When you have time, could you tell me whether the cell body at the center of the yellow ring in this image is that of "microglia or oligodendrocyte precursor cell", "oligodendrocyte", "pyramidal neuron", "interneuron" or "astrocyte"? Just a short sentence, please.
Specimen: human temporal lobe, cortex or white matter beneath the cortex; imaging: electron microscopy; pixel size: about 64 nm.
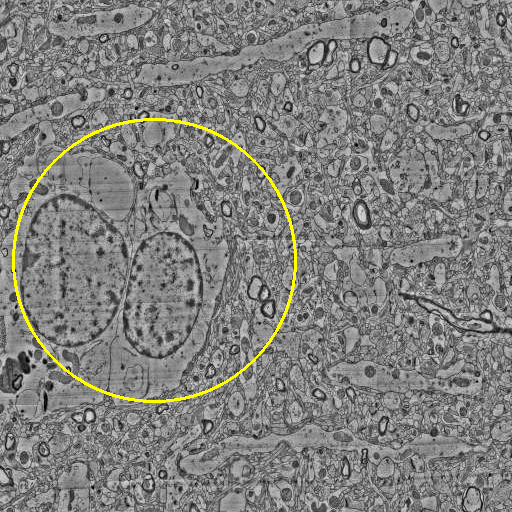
The cell body at the center of the ring is that of an astrocyte.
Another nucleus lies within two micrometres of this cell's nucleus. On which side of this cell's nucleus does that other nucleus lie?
The other one lies to the upper left of it.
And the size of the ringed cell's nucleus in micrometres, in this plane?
In this plane, approximately 8 by 5 micrometers, and clearly longer than it is wide.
